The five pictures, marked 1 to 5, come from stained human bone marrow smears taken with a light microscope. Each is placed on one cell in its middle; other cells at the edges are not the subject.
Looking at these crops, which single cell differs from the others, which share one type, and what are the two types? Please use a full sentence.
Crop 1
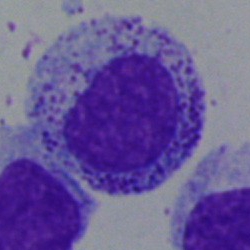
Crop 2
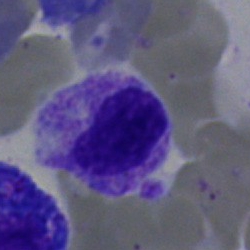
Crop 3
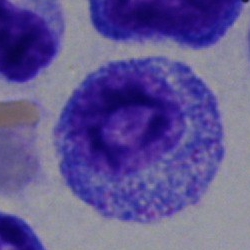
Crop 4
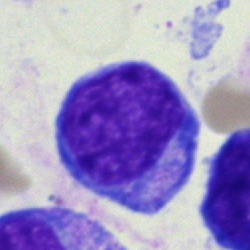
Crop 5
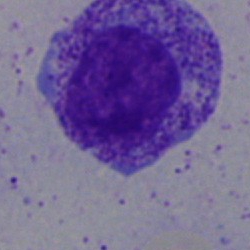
Of all the crops, only crop 4 shows a blast; the others show myelocytes.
